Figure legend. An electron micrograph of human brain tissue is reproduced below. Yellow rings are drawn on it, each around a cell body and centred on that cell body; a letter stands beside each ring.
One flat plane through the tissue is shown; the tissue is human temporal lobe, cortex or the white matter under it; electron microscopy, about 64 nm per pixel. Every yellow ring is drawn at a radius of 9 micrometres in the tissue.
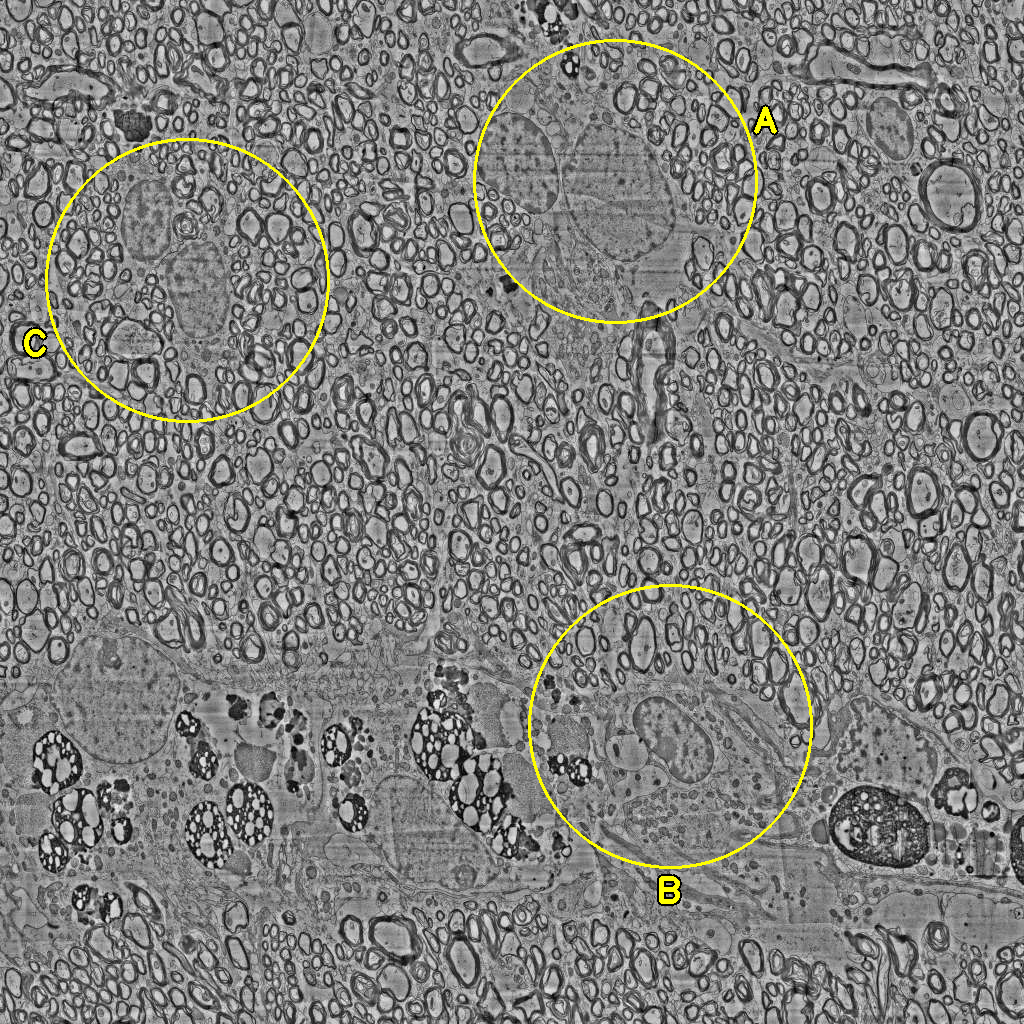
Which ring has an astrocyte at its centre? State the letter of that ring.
A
